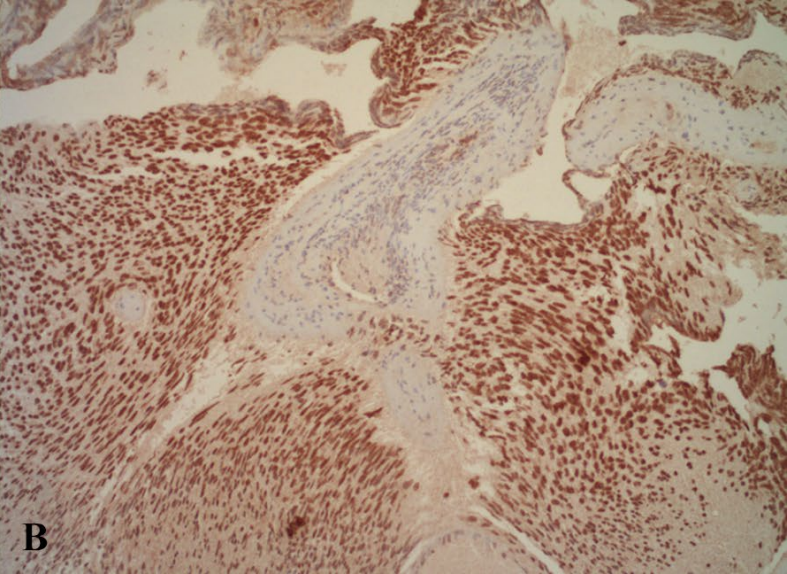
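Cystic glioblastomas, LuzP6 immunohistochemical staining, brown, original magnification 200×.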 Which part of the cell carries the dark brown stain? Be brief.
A: nuclear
